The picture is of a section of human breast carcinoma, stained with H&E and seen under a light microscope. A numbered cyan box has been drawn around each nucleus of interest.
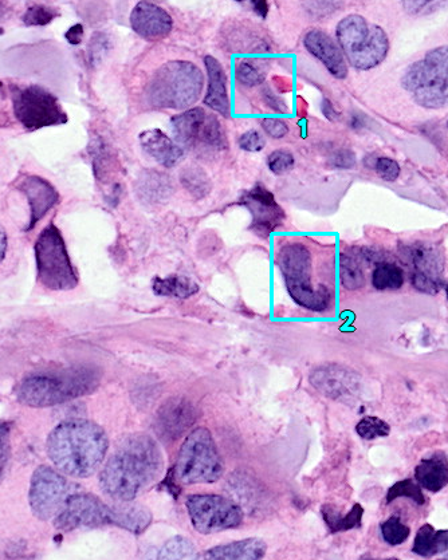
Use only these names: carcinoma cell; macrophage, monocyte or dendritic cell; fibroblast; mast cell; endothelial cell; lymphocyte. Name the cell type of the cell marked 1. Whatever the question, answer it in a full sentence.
In the tissue shown, cell 1 is an endothelial cell.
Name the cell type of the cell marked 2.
The nucleus marked 2 is the nucleus of a carcinoma cell.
